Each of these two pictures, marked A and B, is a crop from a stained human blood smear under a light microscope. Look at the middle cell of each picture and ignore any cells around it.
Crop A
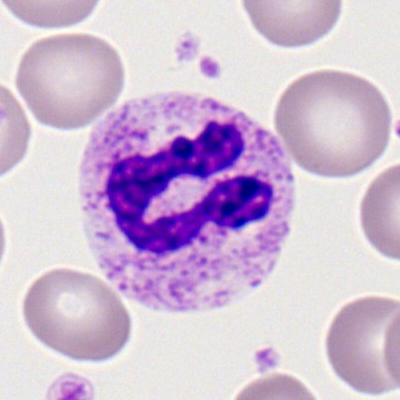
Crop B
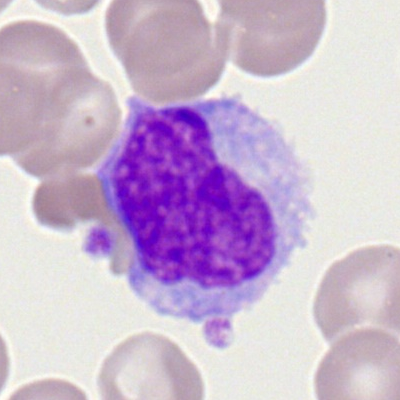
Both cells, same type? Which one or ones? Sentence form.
No, a segmented neutrophil is the subject of crop A, and a monocyte is the subject of crop B.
